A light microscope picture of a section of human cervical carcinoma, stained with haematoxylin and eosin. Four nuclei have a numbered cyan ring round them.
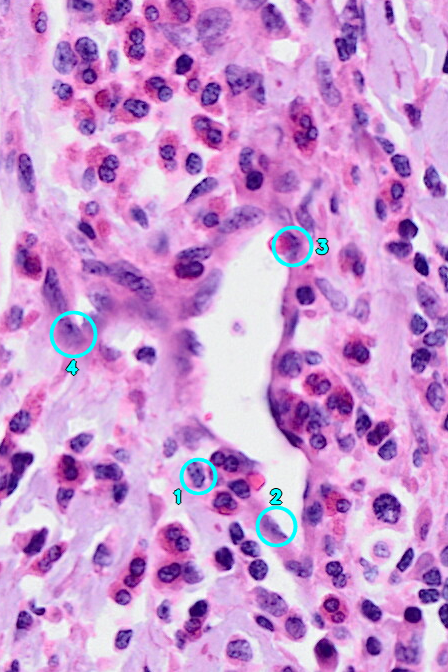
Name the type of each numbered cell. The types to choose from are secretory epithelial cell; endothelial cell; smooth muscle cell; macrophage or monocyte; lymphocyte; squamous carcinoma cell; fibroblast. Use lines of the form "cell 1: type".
cell 1: lymphocyte
cell 2: endothelial cell
cell 3: endothelial cell
cell 4: endothelial cell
